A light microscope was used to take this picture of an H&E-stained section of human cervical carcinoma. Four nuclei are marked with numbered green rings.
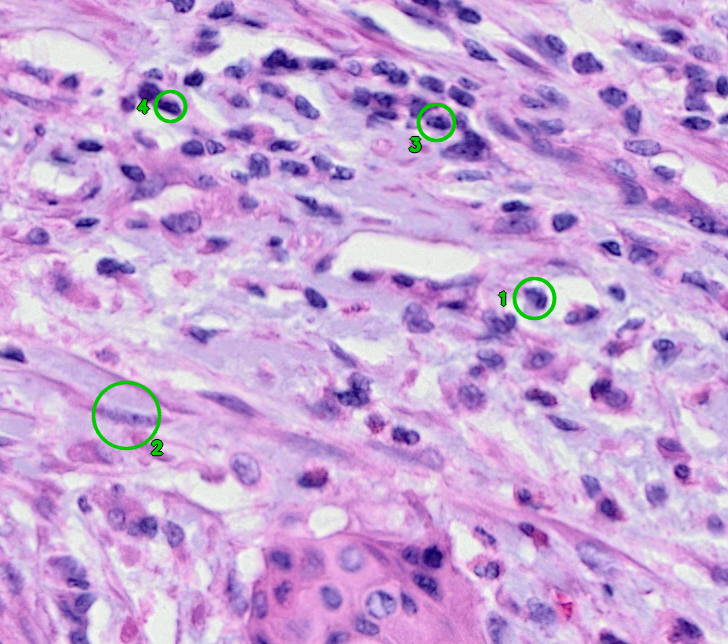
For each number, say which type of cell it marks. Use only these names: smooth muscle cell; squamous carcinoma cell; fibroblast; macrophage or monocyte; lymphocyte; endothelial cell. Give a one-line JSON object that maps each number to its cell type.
{"1": "lymphocyte", "2": "fibroblast", "3": "lymphocyte", "4": "lymphocyte"}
